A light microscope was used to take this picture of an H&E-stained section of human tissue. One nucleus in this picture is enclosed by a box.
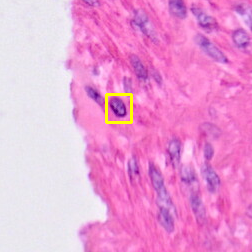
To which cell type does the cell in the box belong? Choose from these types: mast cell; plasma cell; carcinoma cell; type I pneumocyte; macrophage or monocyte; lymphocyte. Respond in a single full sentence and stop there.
The cell type of the cell in the box is that of a mast cell.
